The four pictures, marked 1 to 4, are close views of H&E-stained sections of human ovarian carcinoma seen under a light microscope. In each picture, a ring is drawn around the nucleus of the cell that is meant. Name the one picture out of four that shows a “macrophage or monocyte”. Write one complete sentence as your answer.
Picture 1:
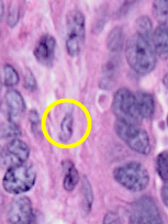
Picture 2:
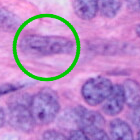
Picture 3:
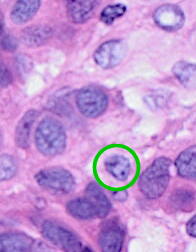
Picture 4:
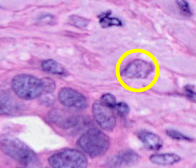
Picture 3 shows the “macrophage or monocyte”.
